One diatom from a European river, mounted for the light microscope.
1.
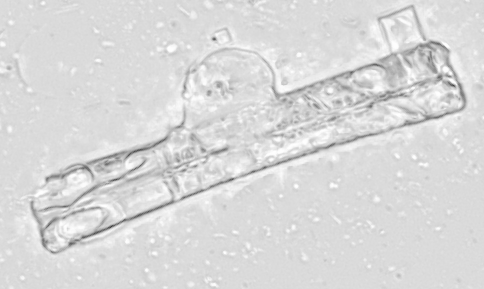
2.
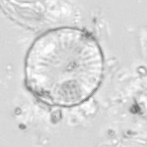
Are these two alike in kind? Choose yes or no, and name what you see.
No. First Diatoma, second Stephanodiscus.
